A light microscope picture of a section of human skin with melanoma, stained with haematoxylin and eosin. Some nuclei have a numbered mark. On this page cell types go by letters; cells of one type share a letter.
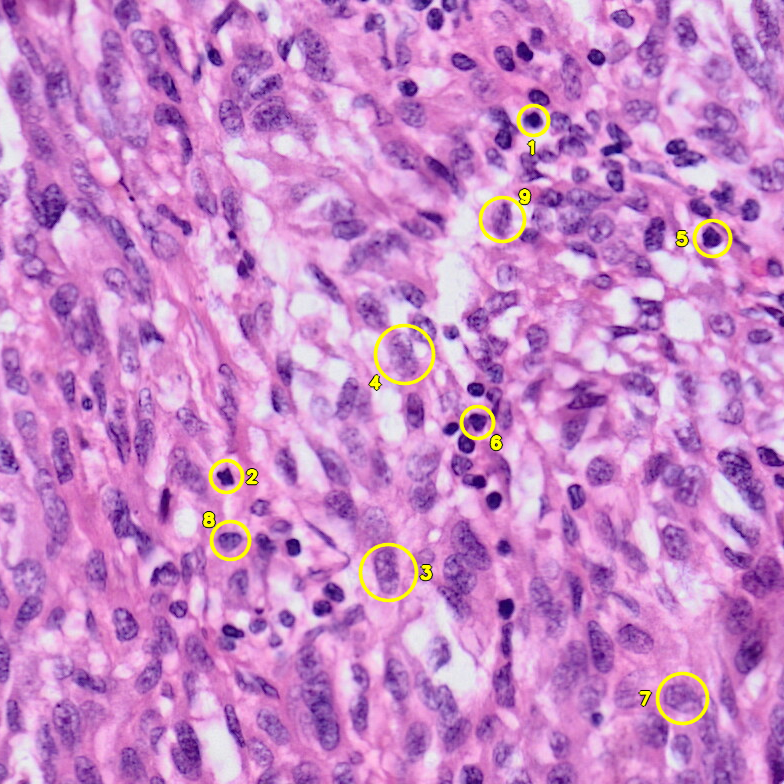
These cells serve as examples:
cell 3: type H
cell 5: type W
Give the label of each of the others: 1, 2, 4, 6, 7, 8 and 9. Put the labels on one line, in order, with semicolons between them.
type W; type W; type H; type W; type H; type W; type H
